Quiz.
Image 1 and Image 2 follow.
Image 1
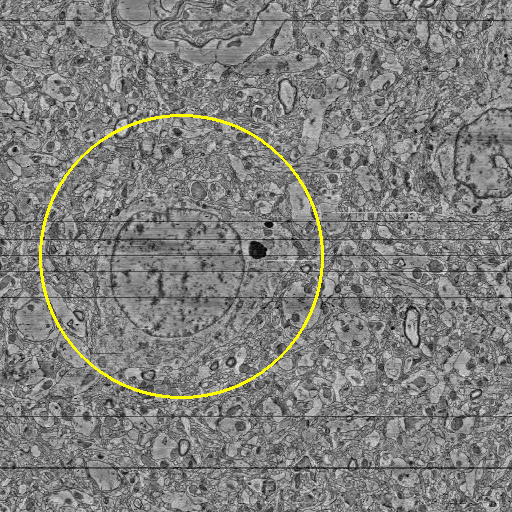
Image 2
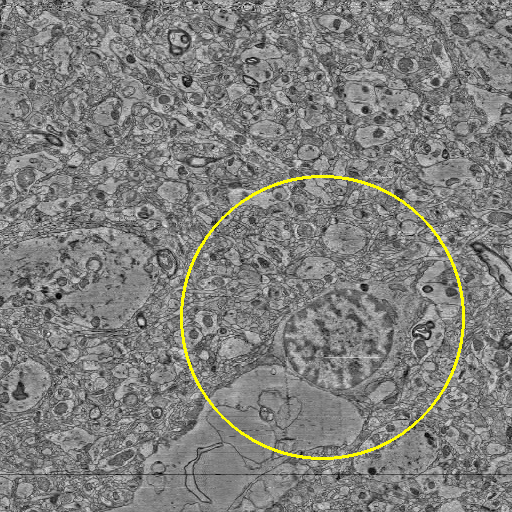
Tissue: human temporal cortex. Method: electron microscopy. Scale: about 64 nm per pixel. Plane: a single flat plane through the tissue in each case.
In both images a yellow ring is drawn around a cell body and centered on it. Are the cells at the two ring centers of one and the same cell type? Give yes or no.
no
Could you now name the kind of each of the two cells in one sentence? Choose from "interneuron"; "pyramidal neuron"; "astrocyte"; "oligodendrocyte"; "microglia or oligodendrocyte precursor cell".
The first ring encloses a pyramidal neuron; the second ring encloses an oligodendrocyte.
